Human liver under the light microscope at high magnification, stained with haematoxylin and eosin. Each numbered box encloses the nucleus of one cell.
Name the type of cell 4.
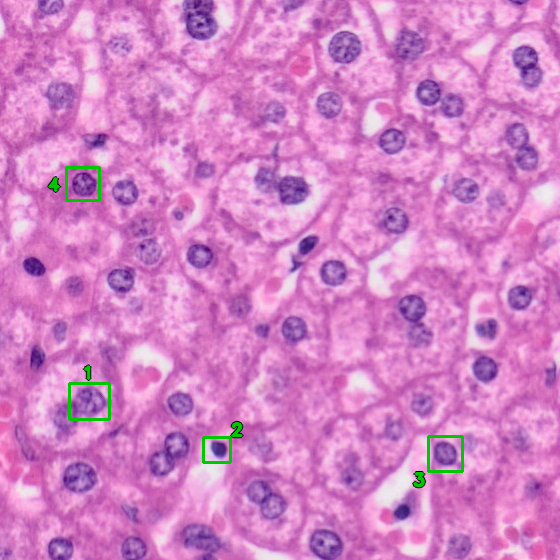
hepatocyte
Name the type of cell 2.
lymphocyte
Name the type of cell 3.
hepatocyte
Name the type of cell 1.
hepatocyte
